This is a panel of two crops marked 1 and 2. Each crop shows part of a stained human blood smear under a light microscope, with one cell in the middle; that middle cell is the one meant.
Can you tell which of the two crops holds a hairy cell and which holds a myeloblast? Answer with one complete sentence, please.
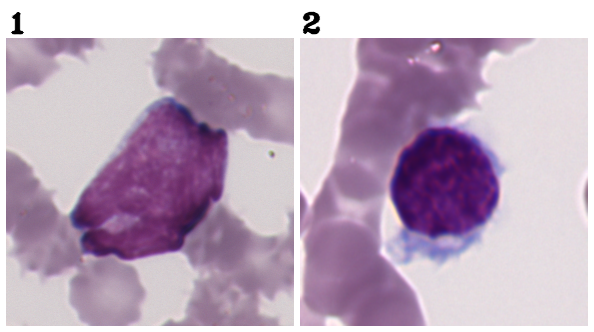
Taken crop by crop, crop 1 is a myeloblast and crop 2 is a hairy cell.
